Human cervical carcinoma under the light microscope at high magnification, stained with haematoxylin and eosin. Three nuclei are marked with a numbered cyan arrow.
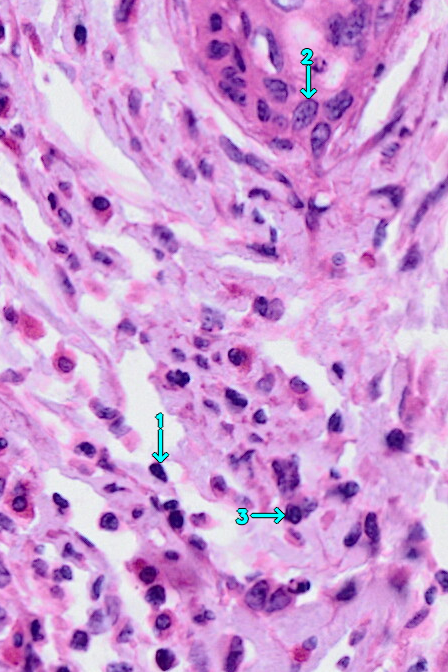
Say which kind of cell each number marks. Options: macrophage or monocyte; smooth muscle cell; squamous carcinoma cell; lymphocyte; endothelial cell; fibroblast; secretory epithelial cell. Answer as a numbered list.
1. lymphocyte
2. squamous carcinoma cell
3. lymphocyte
